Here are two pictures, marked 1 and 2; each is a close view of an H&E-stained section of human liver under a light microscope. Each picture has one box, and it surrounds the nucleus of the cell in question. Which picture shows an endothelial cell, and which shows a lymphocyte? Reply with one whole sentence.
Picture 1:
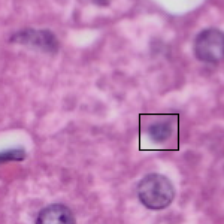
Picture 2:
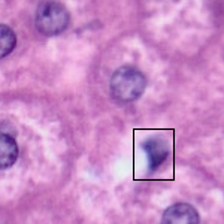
Picture 2 shows an endothelial cell, while picture 1 shows a lymphocyte.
